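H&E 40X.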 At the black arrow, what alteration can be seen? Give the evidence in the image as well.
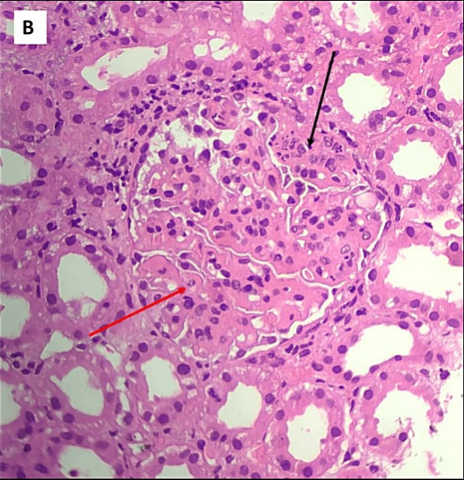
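The arrow points to a cluster of small, dark, fragmented nuclear bits inside the glomerular tuft. So: neutrophils/karyorrhectic debris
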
